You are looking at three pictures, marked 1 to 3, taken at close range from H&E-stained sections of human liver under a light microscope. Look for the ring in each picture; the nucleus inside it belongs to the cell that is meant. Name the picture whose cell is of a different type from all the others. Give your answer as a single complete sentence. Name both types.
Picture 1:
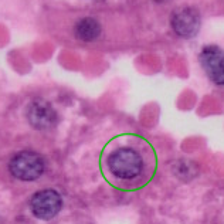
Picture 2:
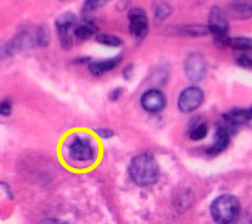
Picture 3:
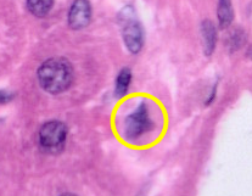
The different one is picture 1; it shows a hepatocyte, whereas all the others show “fibroblasts or stellate cells”.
